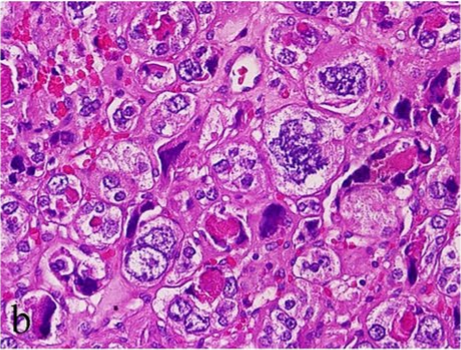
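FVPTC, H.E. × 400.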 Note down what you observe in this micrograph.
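The cells are large and polygonal, with ample pink to pale cytoplasm and distinct borders. Their nuclei are strikingly enlarged and vary greatly in size and shape; some are bizarre and hyperchromatic with clumped dark chromatin, others vesicular with visible nucleoli. A few cells hold very large or multiple nuclei. Small red blood cells and pink eosinophilic material lie between the cells.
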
